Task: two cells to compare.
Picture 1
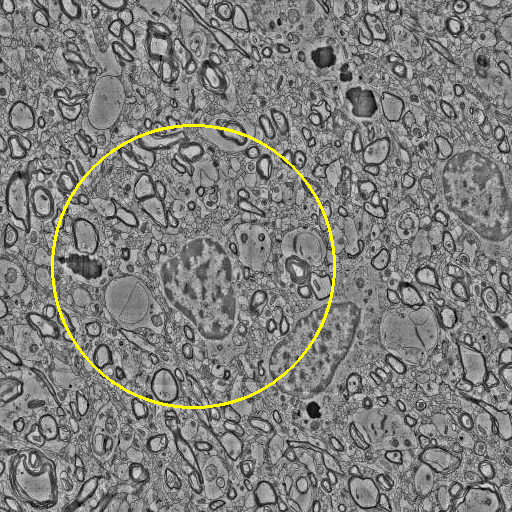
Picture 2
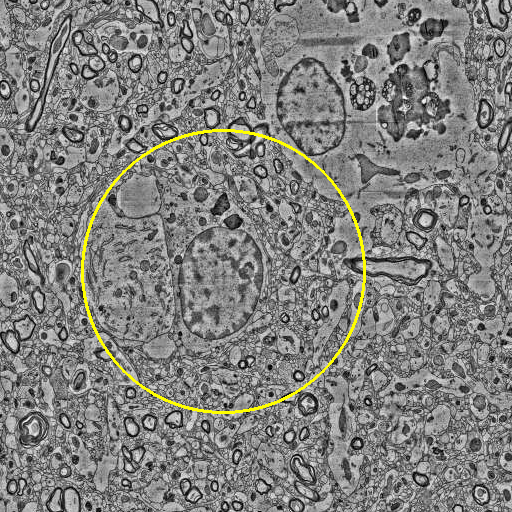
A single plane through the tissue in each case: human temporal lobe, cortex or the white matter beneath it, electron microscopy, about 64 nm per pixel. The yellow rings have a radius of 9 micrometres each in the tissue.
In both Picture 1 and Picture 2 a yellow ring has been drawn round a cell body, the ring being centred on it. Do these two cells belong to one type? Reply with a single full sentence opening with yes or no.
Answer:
No, the two cells at the ring centres in Picture 1 and Picture 2 are of two types.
